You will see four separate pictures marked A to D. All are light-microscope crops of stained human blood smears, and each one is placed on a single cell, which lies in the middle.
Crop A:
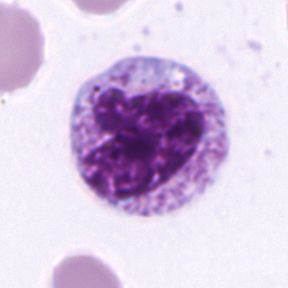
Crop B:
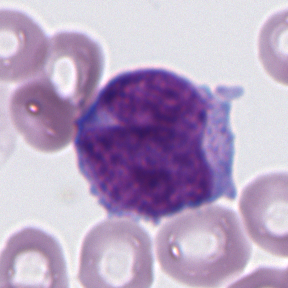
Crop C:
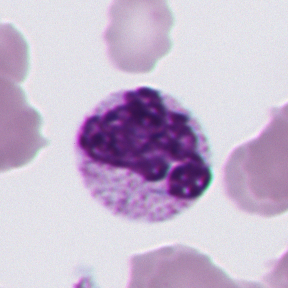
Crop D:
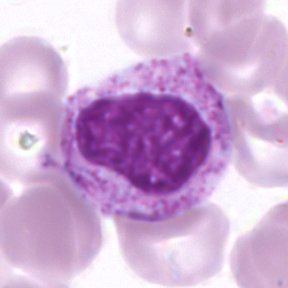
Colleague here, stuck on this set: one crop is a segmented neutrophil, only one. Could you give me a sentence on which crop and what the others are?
On the one hand crop C shows a segmented neutrophil; on the other, crop A is a band neutrophil, crop B is an atypical promyelocyte and crop D is a metamyelocyte.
